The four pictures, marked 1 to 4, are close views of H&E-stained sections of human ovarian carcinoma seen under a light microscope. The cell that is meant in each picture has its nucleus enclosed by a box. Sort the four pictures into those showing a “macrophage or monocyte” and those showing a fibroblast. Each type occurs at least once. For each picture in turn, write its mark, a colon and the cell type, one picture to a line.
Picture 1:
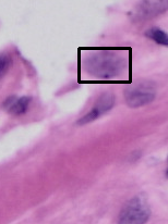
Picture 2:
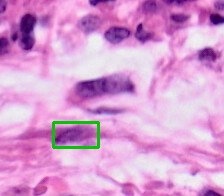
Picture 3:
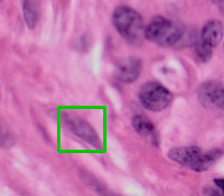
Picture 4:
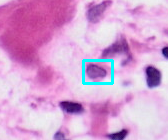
1: fibroblast
2: fibroblast
3: fibroblast
4: macrophage or monocyte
